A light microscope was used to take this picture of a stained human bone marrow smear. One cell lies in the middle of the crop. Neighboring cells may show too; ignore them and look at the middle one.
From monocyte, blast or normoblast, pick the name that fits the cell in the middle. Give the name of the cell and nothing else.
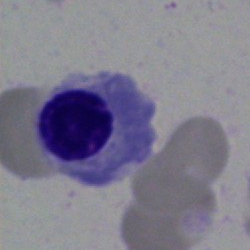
normoblast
